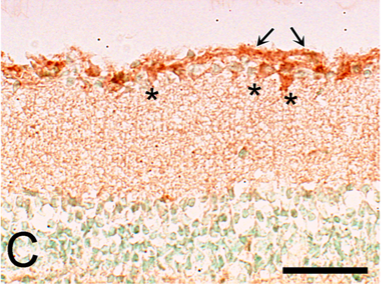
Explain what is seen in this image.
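The inner retina shows a brown-stained band at its surface: a thin fibrous strip running along the edge, and just beneath it rounded, brown-filled profiles in a single row, several marked by asterisks. Below lies a wide, granular, light brown layer, and at the bottom closely packed green-counterstained nuclei. The thin surface strip is the nerve fiber layer with its axons, indicated by arrows, and the rounded stained profiles are cell bodies in the ganglion cell layer; the broad layer beneath is the inner plexiform layer, above the inner nuclear layer.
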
